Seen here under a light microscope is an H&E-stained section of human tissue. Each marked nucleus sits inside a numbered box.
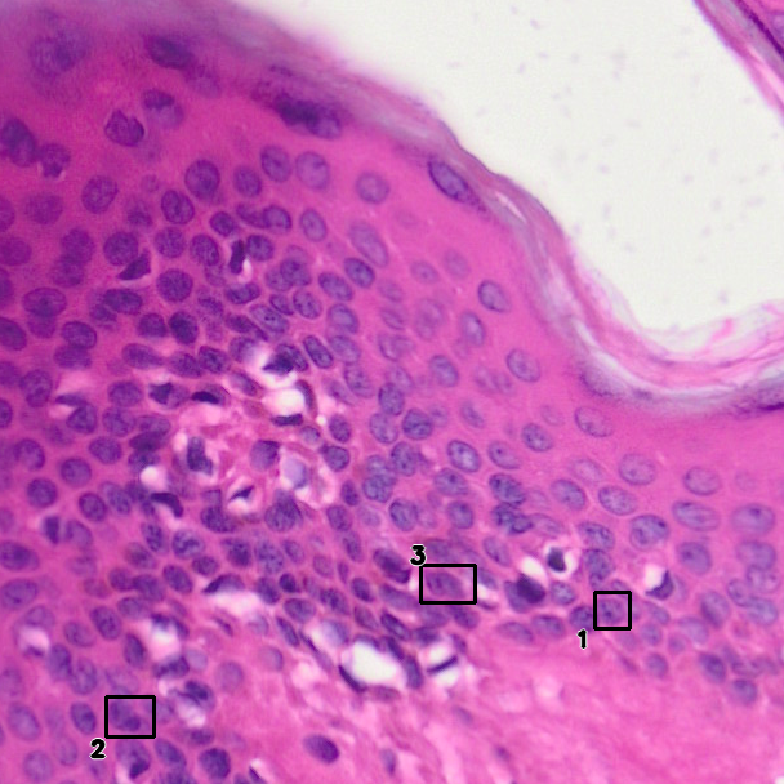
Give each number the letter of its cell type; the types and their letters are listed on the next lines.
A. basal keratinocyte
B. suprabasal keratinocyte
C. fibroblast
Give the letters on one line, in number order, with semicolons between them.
A; B; A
